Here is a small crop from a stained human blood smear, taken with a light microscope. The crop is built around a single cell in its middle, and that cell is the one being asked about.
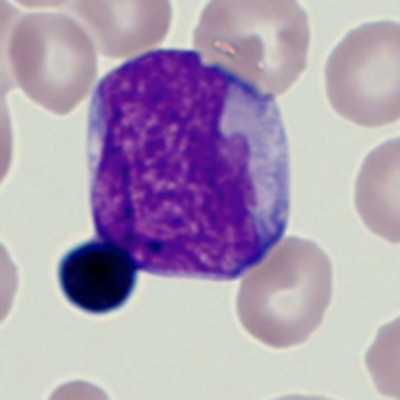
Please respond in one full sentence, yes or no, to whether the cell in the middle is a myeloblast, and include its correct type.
Yes, the middle of the crop is occupied by a myeloblast.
